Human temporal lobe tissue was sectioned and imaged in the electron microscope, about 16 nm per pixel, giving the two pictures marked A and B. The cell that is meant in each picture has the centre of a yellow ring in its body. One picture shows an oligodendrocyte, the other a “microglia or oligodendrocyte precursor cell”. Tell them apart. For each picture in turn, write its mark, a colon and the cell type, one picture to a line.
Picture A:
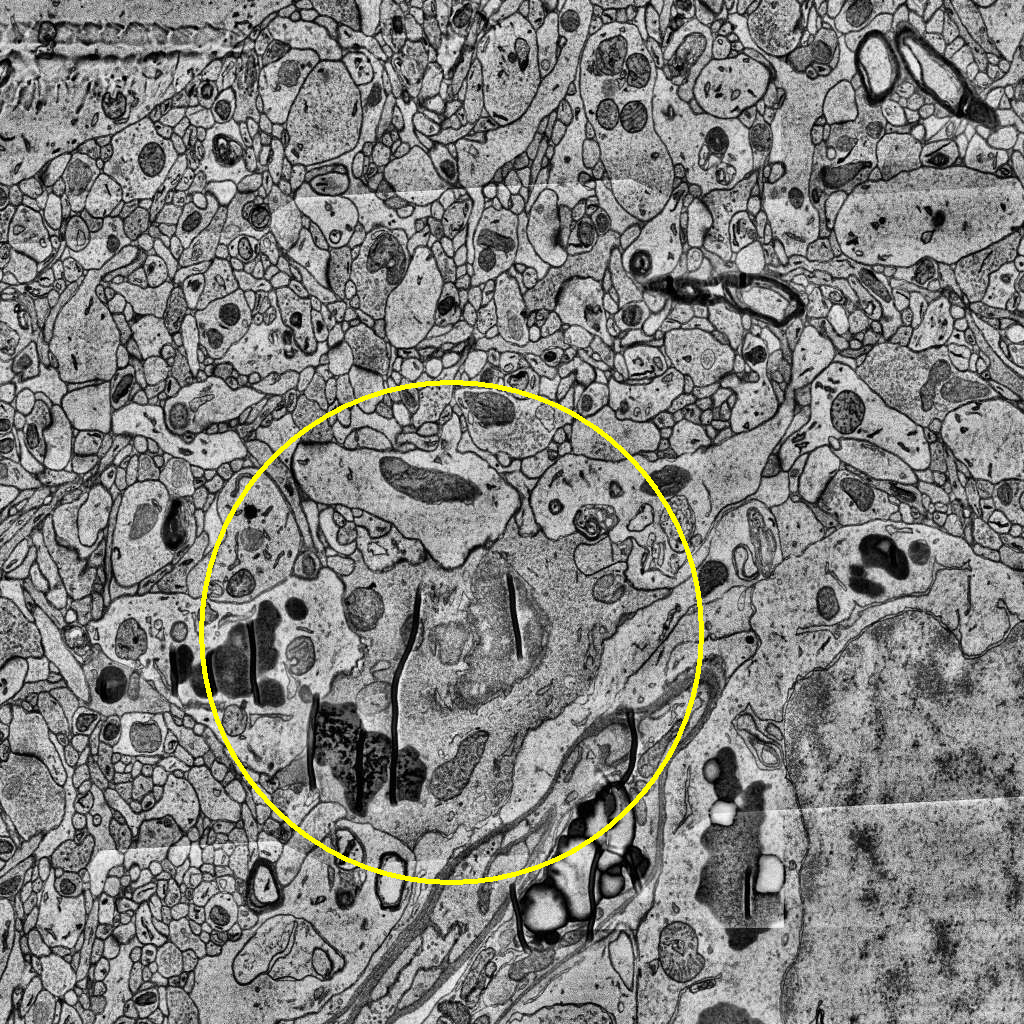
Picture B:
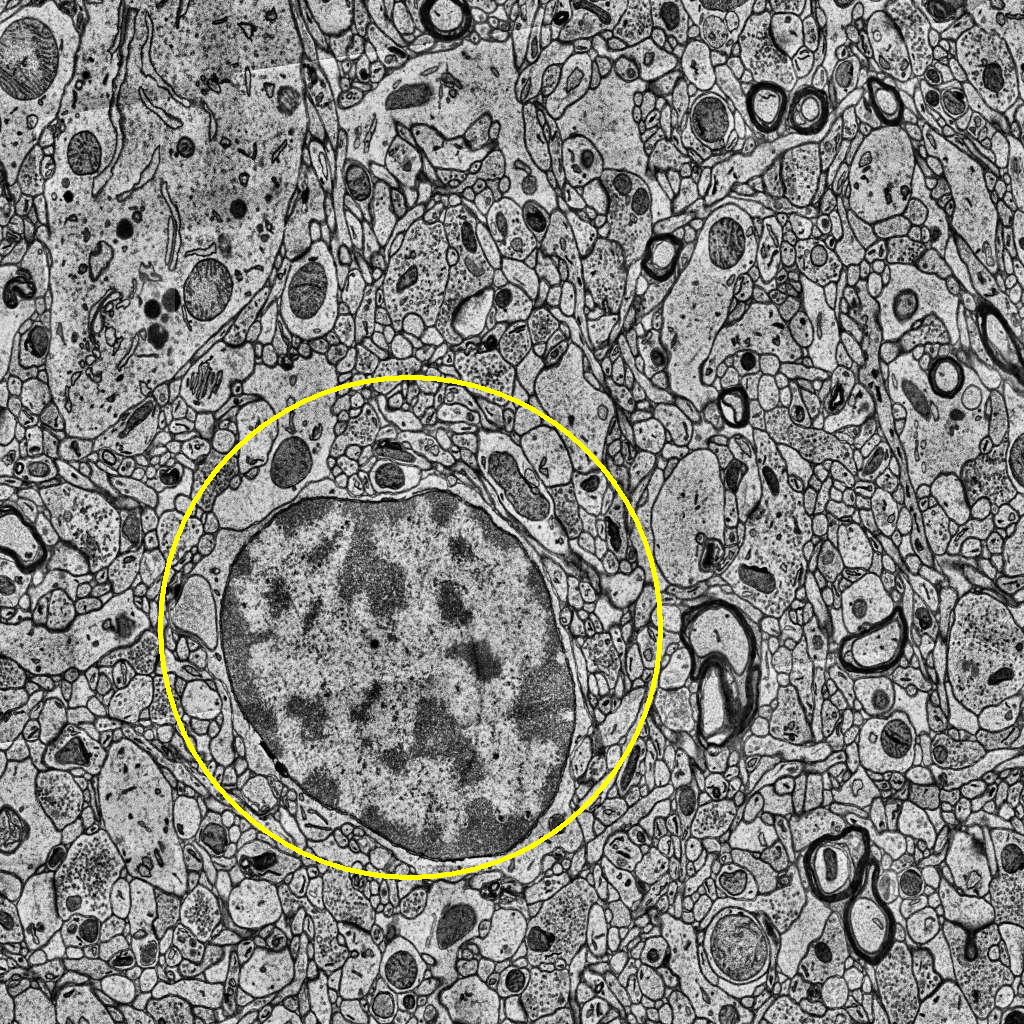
A: oligodendrocyte
B: microglia or oligodendrocyte precursor cell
